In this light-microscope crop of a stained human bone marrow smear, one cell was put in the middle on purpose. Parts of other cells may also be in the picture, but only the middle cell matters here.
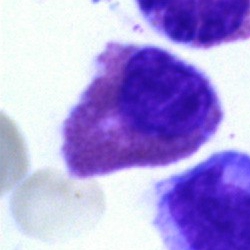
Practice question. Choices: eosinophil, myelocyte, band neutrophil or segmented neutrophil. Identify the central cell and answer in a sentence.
In the central position of this crop, the cell is an eosinophil.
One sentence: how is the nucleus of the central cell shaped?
The nuclear material is gathered into one compact round, oval or kidney-shaped mass.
